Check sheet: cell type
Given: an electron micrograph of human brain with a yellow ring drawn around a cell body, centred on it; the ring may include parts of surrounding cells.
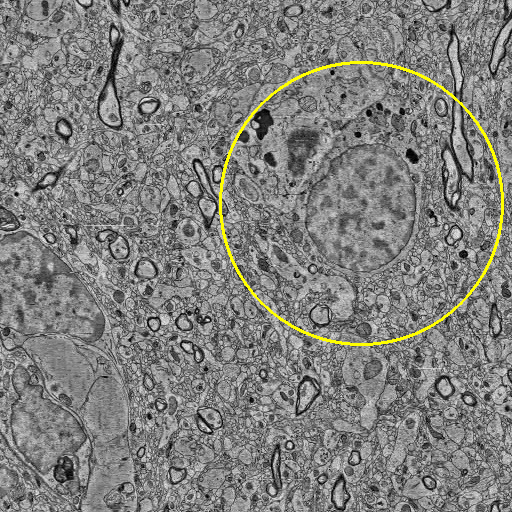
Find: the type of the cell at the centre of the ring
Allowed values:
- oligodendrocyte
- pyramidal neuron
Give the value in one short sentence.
Here the ringed cell is an oligodendrocyte.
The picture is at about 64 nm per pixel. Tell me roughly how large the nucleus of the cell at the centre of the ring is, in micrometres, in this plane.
Approximately 8 micrometres long and 7 micrometres wide, in this plane.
